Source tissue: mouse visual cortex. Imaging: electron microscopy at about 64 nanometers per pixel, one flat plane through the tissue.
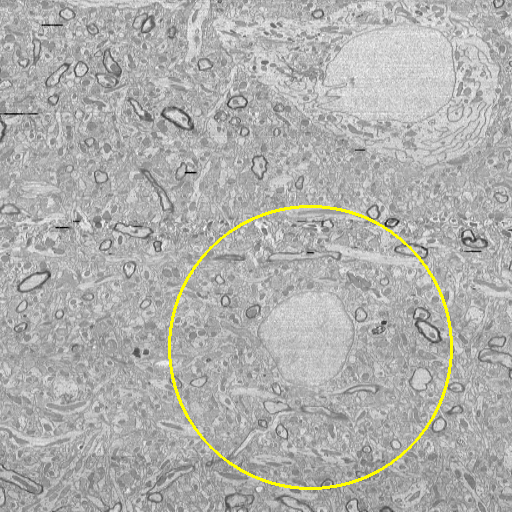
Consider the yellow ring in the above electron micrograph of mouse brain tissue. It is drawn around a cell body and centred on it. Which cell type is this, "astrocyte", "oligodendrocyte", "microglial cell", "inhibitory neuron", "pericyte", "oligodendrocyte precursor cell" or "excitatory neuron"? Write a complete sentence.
The cell in question is an astrocyte.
